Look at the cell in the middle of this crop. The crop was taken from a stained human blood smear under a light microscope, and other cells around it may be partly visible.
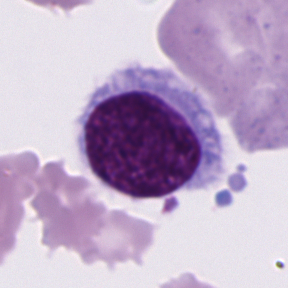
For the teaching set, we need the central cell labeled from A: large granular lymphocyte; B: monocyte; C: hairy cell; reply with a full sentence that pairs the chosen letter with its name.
The one to choose is option C, as the cell in the middle is a hairy cell.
